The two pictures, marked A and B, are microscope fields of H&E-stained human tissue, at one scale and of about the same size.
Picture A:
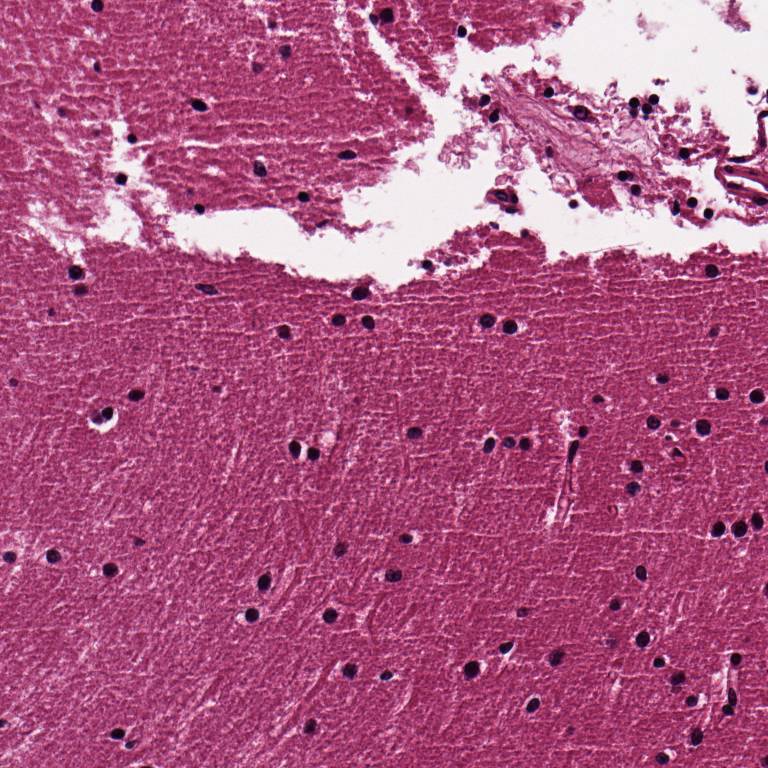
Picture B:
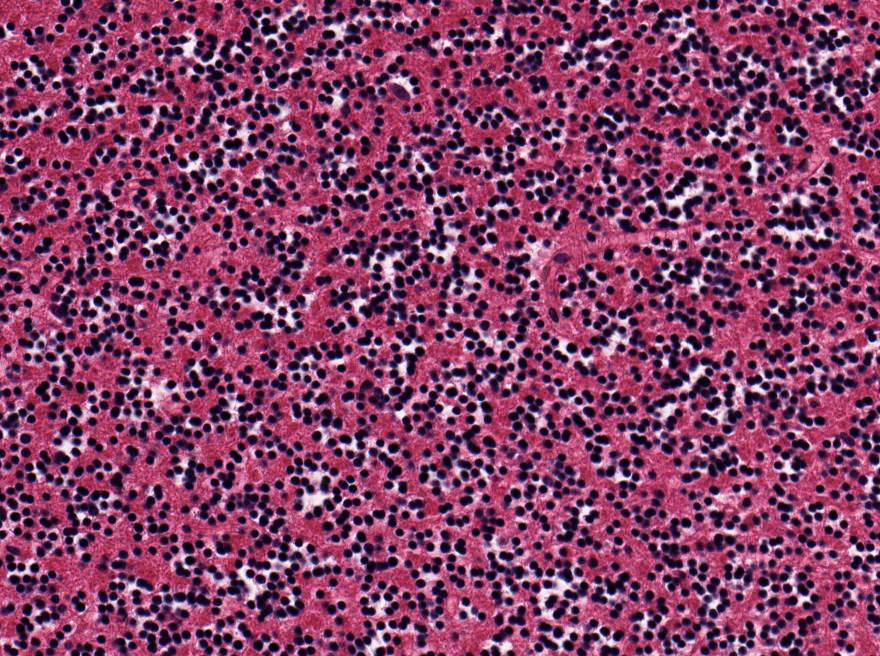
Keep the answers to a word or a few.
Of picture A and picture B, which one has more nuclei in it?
B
